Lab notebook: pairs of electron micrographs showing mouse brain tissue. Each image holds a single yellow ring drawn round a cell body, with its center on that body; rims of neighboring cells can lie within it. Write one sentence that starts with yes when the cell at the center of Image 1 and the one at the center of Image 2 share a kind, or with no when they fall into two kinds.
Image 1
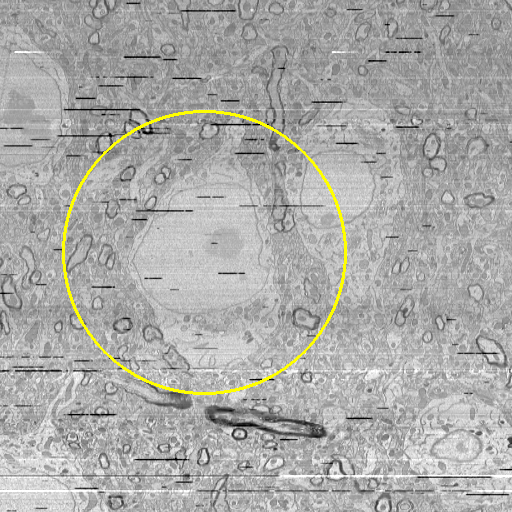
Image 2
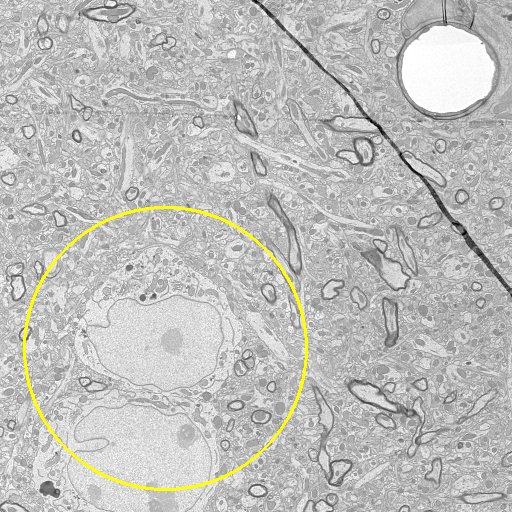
Yes, the centered cell in Image 1 and the centered cell in Image 2 are of one kind.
